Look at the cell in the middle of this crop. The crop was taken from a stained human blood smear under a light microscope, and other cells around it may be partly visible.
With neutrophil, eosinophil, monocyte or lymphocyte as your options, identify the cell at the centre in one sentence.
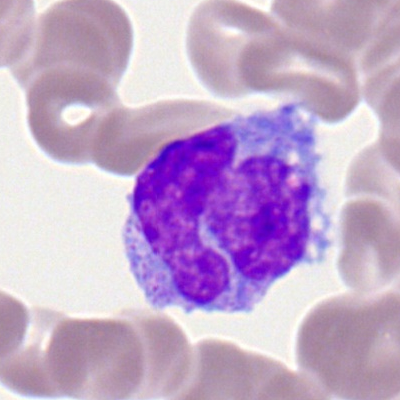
This crop's central cell is a monocyte.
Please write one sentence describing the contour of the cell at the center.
An irregular outline, ragged or marked by projections, surrounds this cell.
